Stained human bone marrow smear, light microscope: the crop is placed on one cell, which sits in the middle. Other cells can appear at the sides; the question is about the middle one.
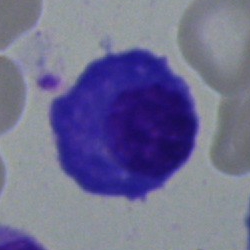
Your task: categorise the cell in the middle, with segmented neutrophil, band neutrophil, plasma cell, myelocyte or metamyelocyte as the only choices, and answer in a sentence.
The cell found in the middle of this crop is a plasma cell.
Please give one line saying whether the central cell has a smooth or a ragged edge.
Rather than running smoothly, the cell border is ragged or carries projections.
